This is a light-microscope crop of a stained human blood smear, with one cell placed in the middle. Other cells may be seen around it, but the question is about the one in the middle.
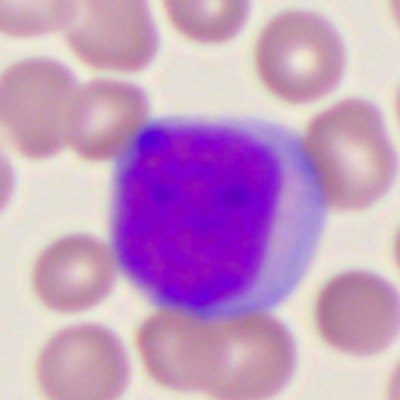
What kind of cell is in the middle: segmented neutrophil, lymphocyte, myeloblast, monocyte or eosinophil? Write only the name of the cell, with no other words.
myeloblast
